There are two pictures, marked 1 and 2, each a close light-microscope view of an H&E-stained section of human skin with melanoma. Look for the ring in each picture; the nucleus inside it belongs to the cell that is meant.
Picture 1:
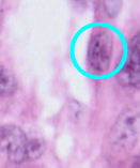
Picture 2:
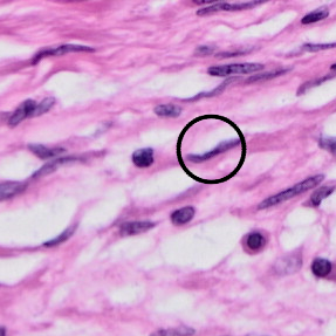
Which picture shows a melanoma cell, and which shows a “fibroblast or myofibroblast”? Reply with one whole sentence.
Picture 2 shows a “fibroblast or myofibroblast”, while picture 1 shows a melanoma cell.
